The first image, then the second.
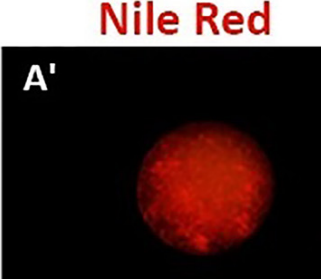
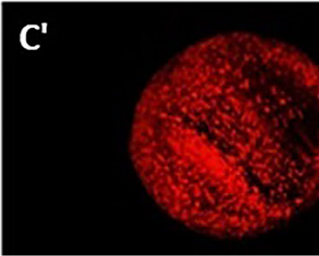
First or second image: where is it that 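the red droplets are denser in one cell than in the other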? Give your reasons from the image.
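Second image: two cells, the lower-left markedly brighter red than the upper-right. First image: a single round cell with fairly uniform red staining.
Answer: the second image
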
